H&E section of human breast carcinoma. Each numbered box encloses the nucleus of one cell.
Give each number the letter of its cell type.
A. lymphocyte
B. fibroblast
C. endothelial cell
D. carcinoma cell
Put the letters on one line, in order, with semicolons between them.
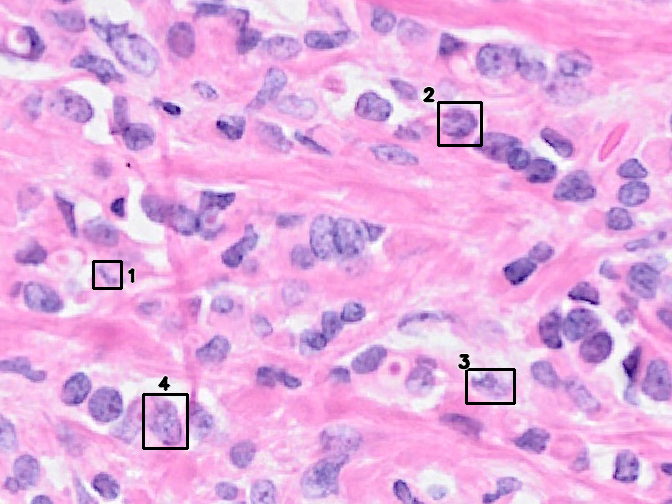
B; D; B; D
